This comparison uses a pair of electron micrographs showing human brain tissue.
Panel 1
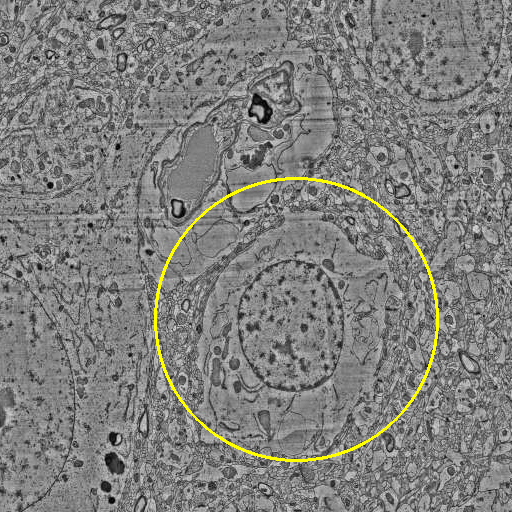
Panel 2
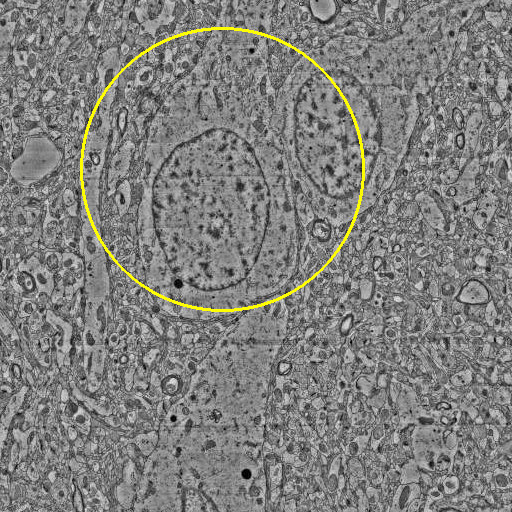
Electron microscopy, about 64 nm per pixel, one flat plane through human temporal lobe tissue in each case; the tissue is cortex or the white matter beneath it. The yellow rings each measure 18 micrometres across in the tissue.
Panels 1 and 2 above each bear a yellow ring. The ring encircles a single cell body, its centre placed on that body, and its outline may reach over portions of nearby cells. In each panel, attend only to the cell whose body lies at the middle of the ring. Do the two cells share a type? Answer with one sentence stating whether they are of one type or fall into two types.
In Panel 1 and Panel 2, the cells at the centres of the rings fall into two types.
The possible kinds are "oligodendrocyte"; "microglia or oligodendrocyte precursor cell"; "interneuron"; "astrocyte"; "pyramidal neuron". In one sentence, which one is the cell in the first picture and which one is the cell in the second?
The cell ringed in the second picture is a pyramidal neuron, whereas the one ringed in the first is an astrocyte.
